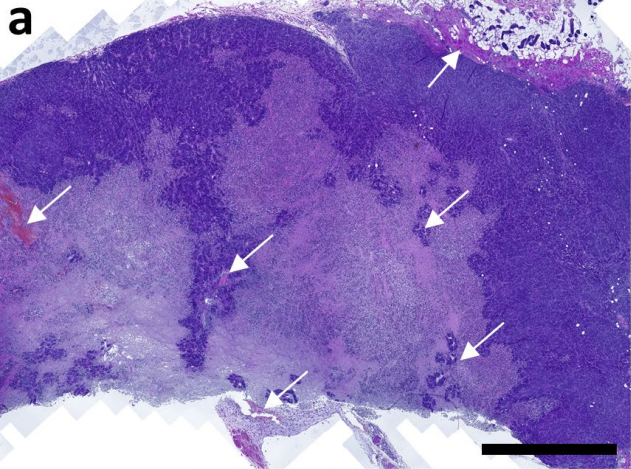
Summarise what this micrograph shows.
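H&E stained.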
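The dark purple tissue is concentrated along the upper and right margins of the tumor, where the tumor cells are packed closely. The pale central areas are loose and poorly stained, consistent with a central necrotic region, and contain scattered small islands of dark purple viable tumor tissue. Small pink-red foci within and at the edges of the tumor mark blood vessels. At the upper right edge a band of pink connective tissue lies over the tumor surface.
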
